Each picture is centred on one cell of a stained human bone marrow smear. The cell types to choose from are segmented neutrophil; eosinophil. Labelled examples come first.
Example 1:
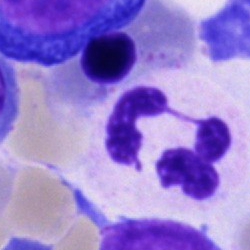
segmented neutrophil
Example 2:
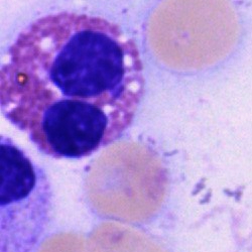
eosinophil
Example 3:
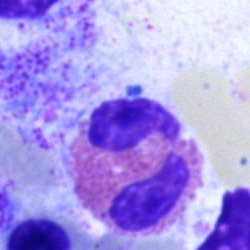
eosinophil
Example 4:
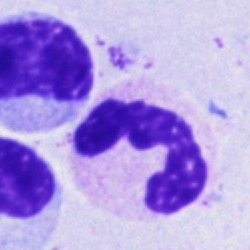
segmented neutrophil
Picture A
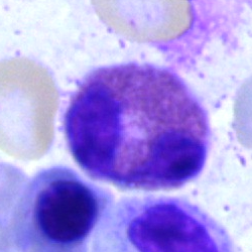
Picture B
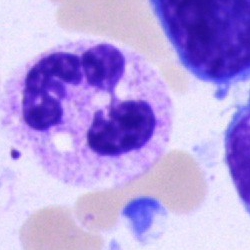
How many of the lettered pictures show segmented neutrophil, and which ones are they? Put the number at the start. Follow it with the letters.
1: B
